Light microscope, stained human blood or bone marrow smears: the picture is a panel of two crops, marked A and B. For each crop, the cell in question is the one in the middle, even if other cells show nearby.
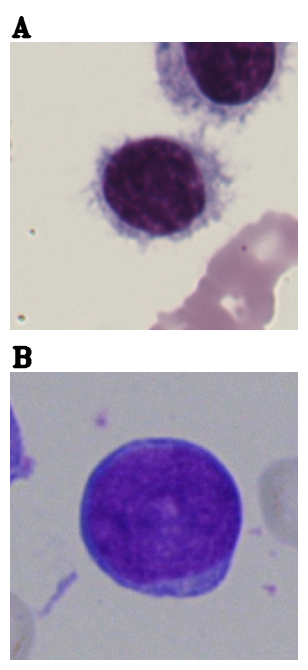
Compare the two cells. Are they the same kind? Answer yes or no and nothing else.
no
